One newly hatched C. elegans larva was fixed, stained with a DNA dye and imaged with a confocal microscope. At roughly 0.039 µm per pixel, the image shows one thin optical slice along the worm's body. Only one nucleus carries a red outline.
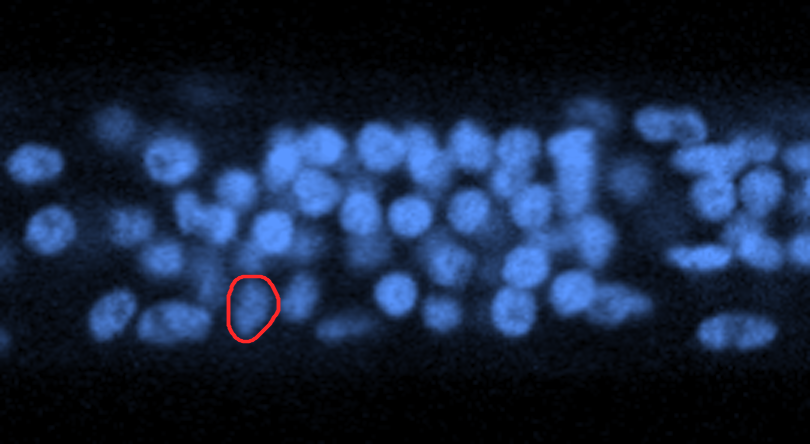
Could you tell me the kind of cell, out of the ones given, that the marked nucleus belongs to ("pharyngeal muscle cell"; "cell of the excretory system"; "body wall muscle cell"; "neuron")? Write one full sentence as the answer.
This nucleus is from a neuron.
